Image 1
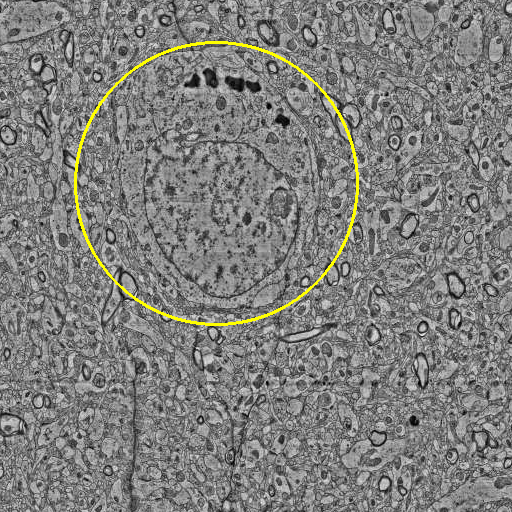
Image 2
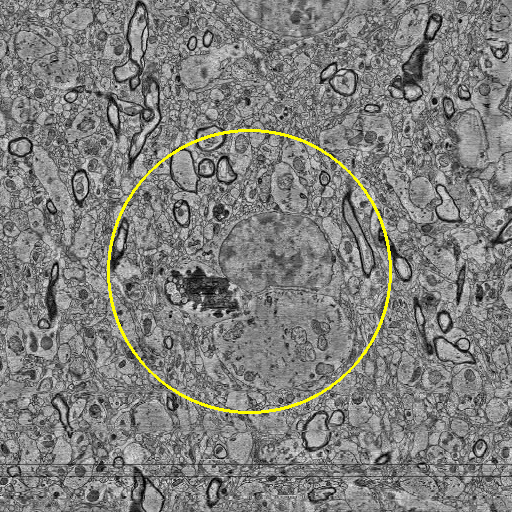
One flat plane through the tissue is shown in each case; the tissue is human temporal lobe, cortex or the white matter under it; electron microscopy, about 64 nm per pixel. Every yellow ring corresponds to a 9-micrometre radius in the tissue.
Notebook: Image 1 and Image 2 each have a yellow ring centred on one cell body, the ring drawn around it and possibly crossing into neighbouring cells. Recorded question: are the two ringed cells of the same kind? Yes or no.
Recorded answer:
no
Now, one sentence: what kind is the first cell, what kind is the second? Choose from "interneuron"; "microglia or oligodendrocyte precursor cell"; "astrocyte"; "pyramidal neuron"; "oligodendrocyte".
The first picture has a pyramidal neuron at its ring centre, and the second has an oligodendrocyte.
